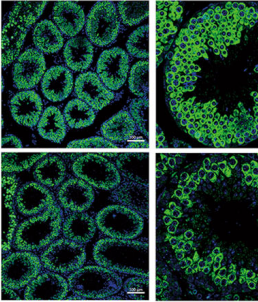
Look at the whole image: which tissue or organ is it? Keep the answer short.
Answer: Seminiferous tubules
